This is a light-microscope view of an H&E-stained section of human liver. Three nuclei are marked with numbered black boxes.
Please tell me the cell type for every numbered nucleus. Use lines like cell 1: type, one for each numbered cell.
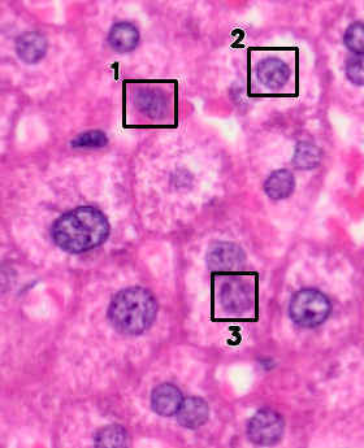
cell 1: endothelial cell
cell 2: hepatocyte
cell 3: hepatocyte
